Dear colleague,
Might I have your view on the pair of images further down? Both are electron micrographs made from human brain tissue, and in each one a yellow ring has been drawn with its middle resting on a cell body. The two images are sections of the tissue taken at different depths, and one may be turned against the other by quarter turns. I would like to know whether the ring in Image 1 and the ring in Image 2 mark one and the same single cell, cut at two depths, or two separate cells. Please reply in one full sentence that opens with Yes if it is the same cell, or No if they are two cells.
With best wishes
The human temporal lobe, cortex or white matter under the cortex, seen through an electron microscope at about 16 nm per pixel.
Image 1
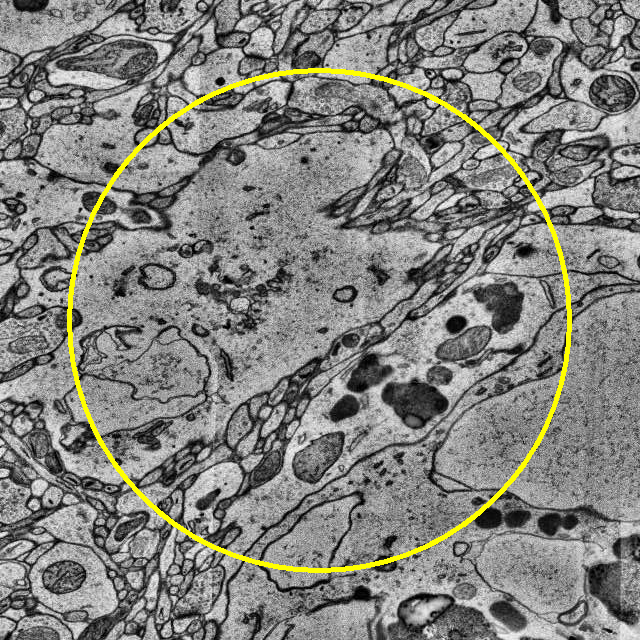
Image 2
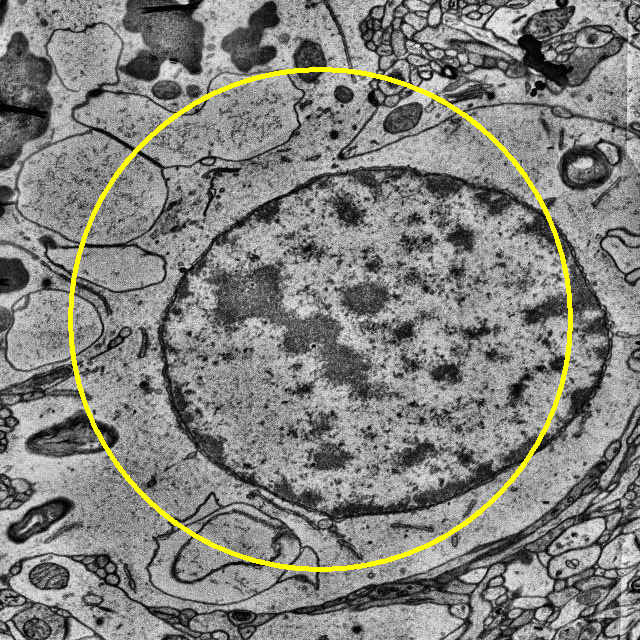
Yes, the two marked outlines come from one and the same cell.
